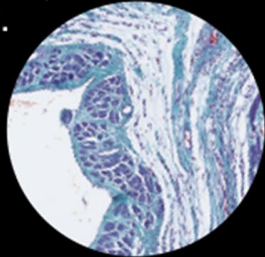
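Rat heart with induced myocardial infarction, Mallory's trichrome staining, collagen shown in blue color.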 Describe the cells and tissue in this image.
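Bundles of cardiomyocytes appear as compact, dark blue-purple profiles, many cut across so that they look like rounded or polygonal blocks packed together. Between and beside these bundles run broad bands of pale blue-green fibrous connective tissue made of wavy, loosely arranged strands with white clefts between them. At the left edge an empty white space borders the tissue, with a layer of muscle lining it.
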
